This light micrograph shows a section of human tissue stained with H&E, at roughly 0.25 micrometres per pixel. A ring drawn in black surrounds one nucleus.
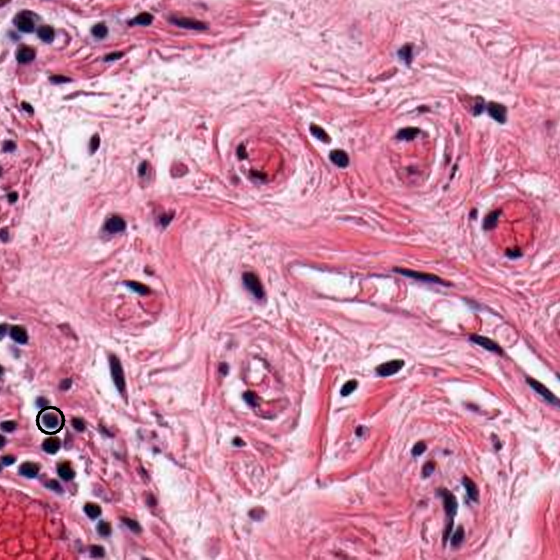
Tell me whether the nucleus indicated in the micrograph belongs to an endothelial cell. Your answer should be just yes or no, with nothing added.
no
